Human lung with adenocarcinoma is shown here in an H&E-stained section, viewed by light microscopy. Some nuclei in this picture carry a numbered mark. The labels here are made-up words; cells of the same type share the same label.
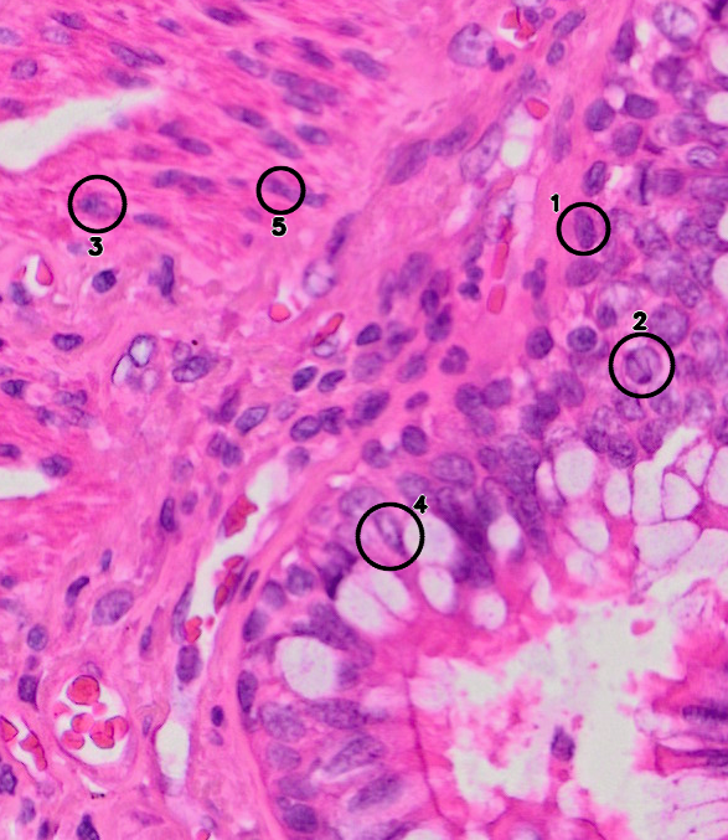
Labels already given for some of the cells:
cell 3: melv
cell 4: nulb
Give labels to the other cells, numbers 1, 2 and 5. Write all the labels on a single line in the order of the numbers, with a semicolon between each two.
nulb; nulb; melv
